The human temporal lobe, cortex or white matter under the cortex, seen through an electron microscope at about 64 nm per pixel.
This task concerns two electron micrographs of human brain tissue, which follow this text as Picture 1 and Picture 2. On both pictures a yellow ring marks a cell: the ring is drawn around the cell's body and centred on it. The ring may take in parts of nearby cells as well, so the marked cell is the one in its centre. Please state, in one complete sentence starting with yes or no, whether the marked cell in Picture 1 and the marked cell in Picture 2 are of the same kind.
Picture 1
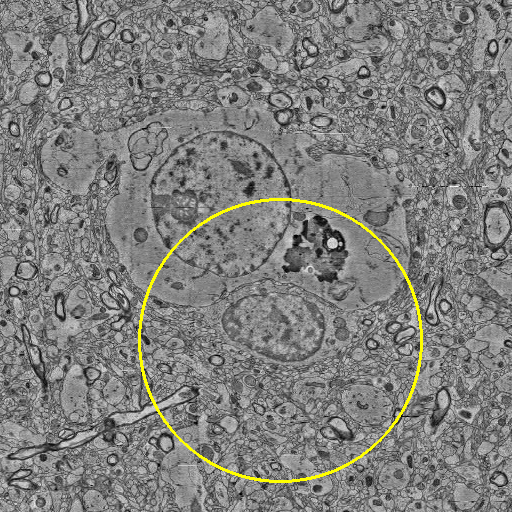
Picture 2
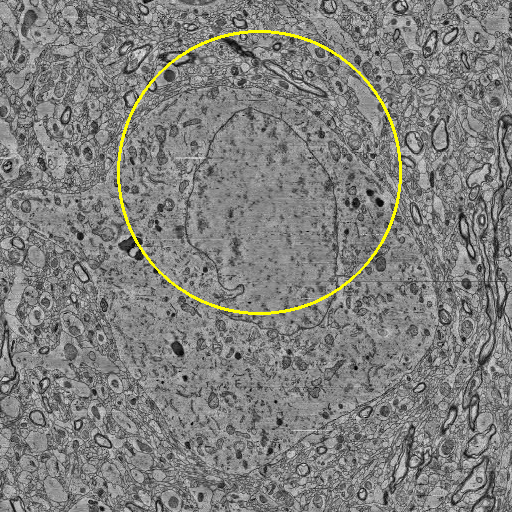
No, the marked cells in the two pictures are of two kinds.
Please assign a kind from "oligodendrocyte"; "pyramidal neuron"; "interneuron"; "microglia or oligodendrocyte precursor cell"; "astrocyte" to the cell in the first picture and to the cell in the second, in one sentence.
In the first picture we have an oligodendrocyte, and in the second, a pyramidal neuron.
